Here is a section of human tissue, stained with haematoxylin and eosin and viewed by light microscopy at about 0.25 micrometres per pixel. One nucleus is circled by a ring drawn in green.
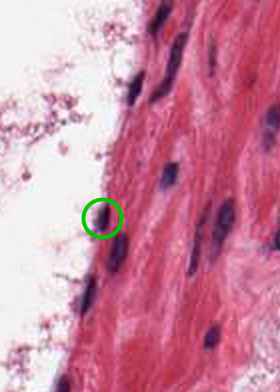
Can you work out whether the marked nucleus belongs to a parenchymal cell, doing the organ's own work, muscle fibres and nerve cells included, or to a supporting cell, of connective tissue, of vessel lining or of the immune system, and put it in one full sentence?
Identified as a supporting cell is the cell holding the marked nucleus.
